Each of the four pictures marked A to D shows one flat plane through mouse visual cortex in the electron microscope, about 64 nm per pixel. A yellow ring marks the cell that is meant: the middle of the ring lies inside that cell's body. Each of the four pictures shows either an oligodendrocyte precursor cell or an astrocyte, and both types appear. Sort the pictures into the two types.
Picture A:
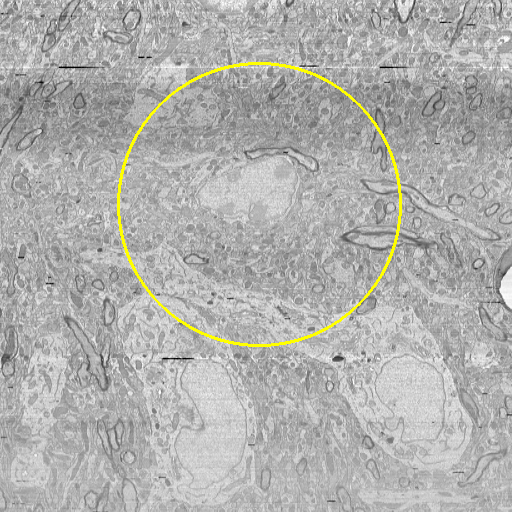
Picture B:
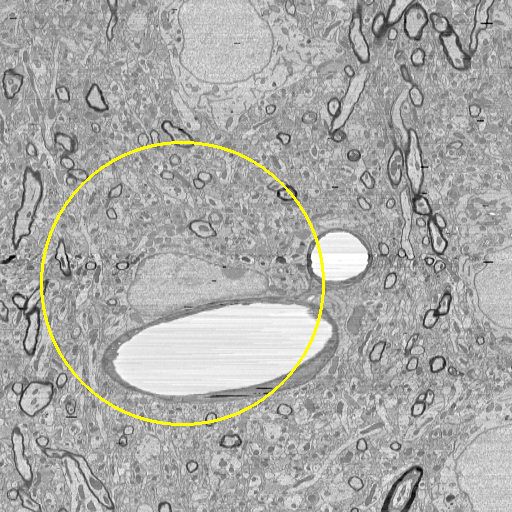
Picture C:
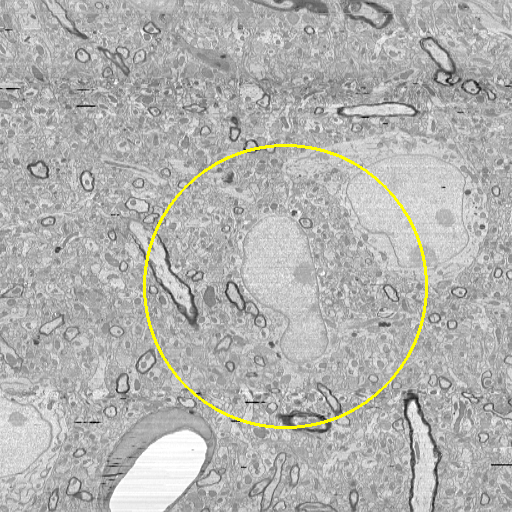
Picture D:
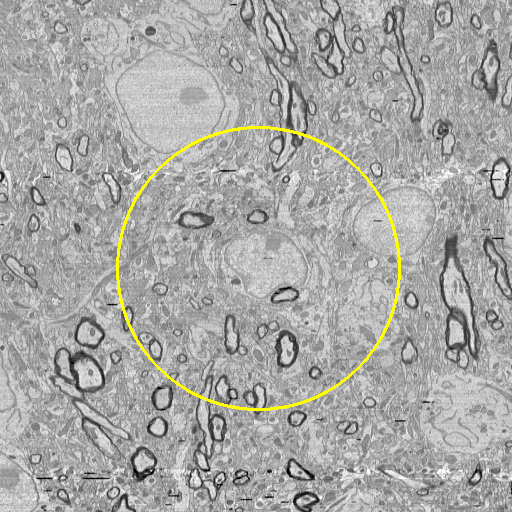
Pictures A and D show oligodendrocyte precursor cells, and pictures B and C show astrocytes.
